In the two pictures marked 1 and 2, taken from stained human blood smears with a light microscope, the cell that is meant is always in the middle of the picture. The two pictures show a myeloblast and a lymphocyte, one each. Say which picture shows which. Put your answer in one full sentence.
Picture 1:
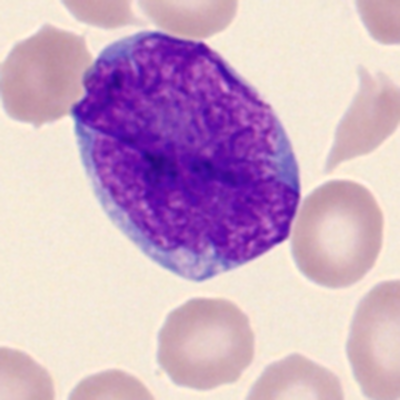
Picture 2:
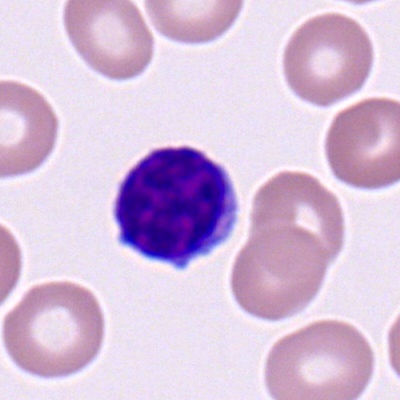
Picture 2 shows a lymphocyte, while picture 1 shows a myeloblast.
